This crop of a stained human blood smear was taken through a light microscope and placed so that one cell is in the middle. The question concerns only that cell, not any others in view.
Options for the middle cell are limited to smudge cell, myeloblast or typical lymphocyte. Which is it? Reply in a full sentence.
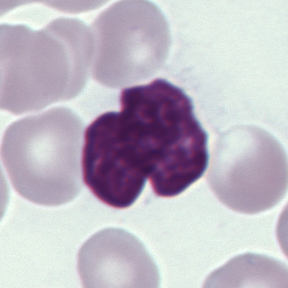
The middle cell in this particular crop is a smudge cell.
